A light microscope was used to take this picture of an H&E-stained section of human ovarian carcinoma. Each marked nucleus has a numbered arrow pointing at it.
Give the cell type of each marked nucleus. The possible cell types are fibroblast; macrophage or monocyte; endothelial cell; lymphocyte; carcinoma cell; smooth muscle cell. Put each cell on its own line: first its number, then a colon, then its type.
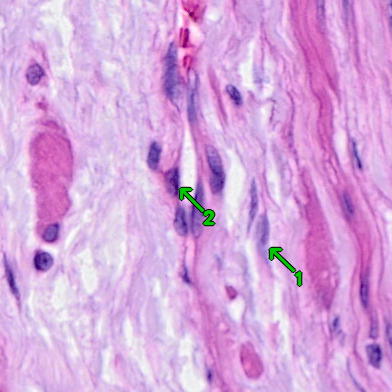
1: fibroblast
2: endothelial cell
